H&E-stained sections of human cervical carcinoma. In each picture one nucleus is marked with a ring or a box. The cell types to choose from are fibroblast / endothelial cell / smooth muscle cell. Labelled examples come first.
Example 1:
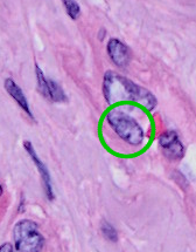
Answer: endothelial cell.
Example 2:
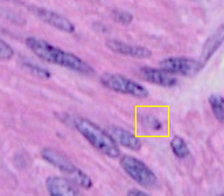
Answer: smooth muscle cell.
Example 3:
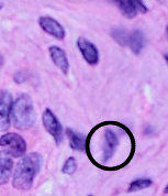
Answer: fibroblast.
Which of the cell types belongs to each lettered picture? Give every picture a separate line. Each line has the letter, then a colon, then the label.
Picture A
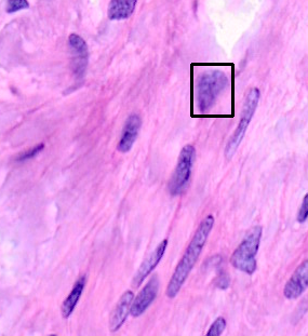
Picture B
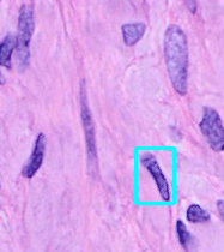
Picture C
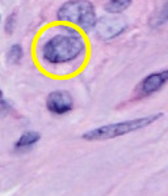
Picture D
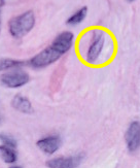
A: fibroblast.
B: fibroblast.
C: endothelial cell.
D: smooth muscle cell.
